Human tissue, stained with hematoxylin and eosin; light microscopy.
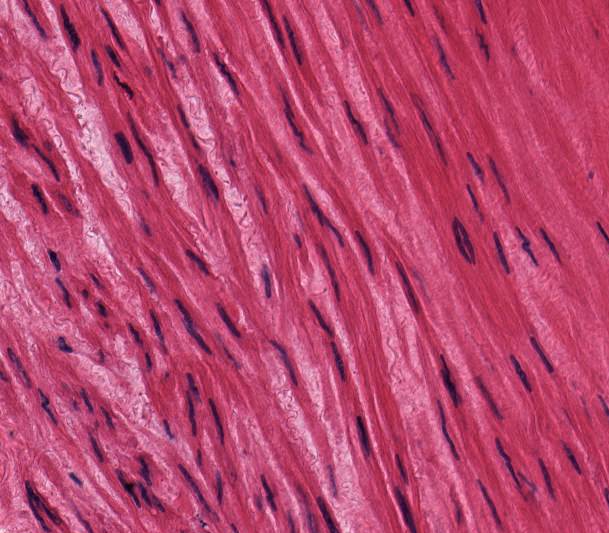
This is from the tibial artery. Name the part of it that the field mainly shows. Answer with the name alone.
tunica media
